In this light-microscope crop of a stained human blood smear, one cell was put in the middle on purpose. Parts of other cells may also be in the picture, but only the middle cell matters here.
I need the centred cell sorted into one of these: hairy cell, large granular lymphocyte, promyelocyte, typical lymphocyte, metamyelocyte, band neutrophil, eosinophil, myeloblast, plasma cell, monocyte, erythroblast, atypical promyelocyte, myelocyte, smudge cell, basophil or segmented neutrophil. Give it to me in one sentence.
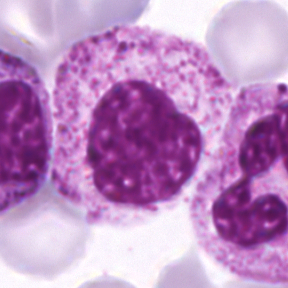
The centrally located cell in the crop is a myelocyte.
